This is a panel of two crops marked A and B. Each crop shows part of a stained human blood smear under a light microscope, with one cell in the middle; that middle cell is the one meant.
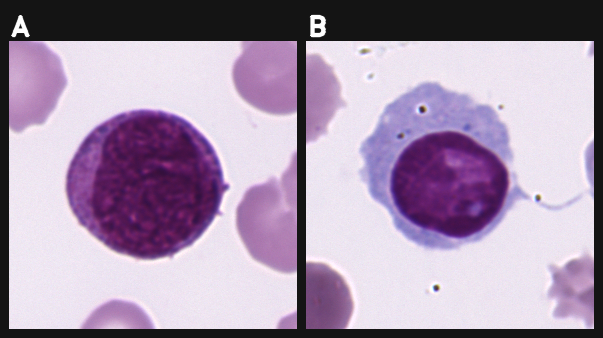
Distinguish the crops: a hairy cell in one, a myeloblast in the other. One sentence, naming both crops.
Recognised in crop A is a myeloblast, and recognised in crop B is a hairy cell.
